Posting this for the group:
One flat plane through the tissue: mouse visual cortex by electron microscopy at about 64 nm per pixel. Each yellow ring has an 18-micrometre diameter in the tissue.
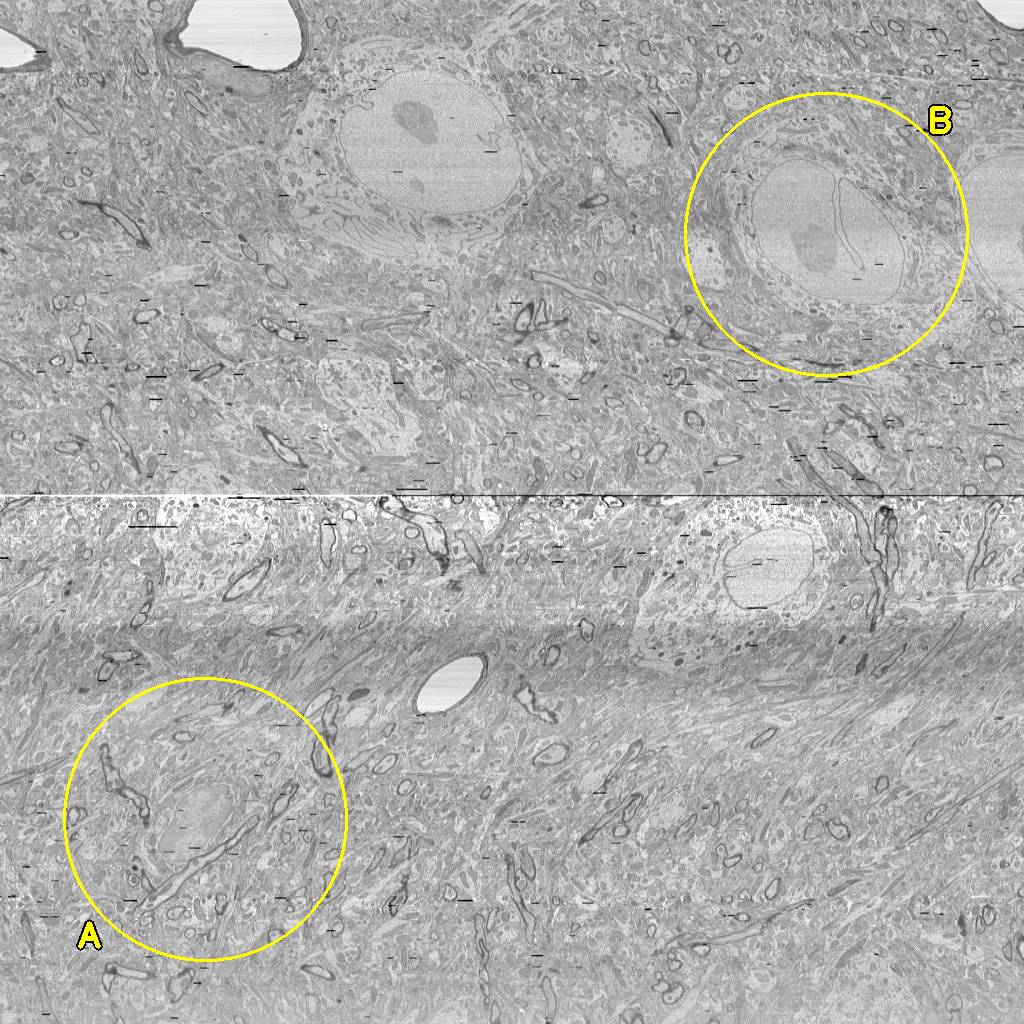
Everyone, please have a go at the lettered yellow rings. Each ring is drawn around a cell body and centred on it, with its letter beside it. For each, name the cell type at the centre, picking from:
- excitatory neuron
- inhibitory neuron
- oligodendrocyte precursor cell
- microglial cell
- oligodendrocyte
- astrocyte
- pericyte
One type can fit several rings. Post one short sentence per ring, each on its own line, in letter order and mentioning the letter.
My call for ring A is a microglial cell.
My call for ring B is an inhibitory neuron.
